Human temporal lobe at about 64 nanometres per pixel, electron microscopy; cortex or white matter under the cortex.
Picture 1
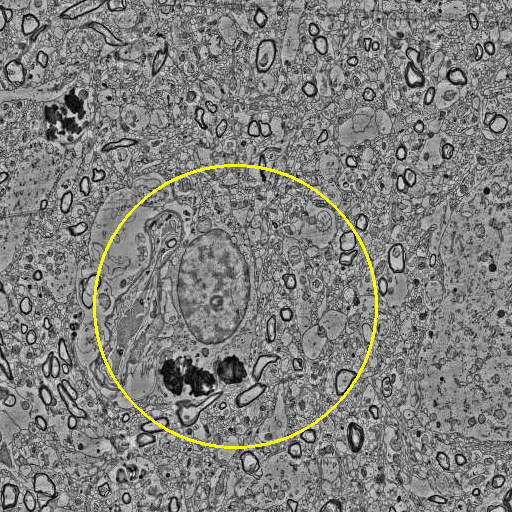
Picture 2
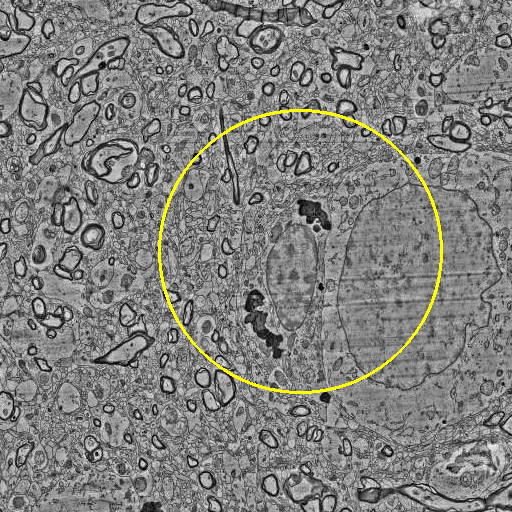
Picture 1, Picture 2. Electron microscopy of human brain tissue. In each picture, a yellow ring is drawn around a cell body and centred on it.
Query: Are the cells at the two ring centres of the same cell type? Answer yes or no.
yes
